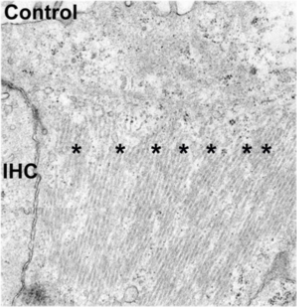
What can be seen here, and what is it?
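This electron micrograph of a cochlear cross-section shows the cytoplasm of a pillar cell lying beside an inner hair cell at the left edge. The pillar cell is packed with long, parallel, closely spaced bundles of microtubules that run obliquely across most of the field, marked by a row of asterisks, giving the cytoplasm a finely striated texture. Small dark granules and vesicles are scattered among the bundles. The border with the inner hair cell appears as a membrane line on the left, beyond which the cytoplasm is more granular and lacks such bundles. No nucleus lies in this field.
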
